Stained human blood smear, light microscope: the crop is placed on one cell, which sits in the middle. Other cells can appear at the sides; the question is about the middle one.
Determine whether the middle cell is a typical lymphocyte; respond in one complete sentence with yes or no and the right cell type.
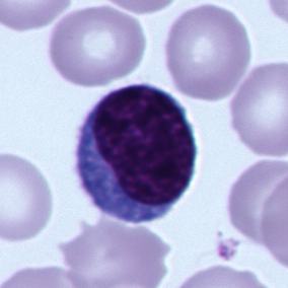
Yes, the cell in the middle has the identity of a typical lymphocyte.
